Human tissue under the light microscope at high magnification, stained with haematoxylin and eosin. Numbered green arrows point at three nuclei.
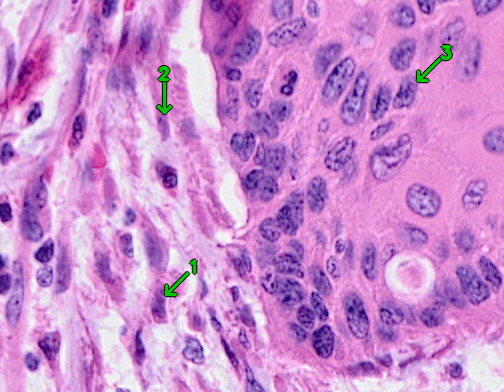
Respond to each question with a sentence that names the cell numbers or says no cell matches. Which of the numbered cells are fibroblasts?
The cells numbered 1 and 2 are identified as fibroblasts.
